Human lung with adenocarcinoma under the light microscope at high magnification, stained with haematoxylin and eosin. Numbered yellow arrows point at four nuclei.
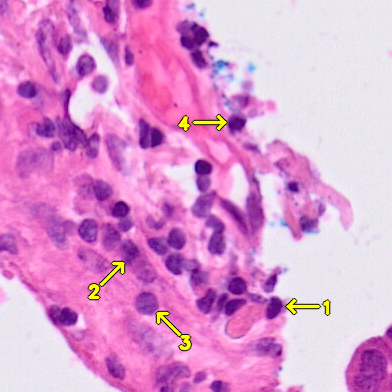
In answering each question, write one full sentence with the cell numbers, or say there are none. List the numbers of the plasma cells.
Cell 2 is a plasma cell; every other numbered cell is something else.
